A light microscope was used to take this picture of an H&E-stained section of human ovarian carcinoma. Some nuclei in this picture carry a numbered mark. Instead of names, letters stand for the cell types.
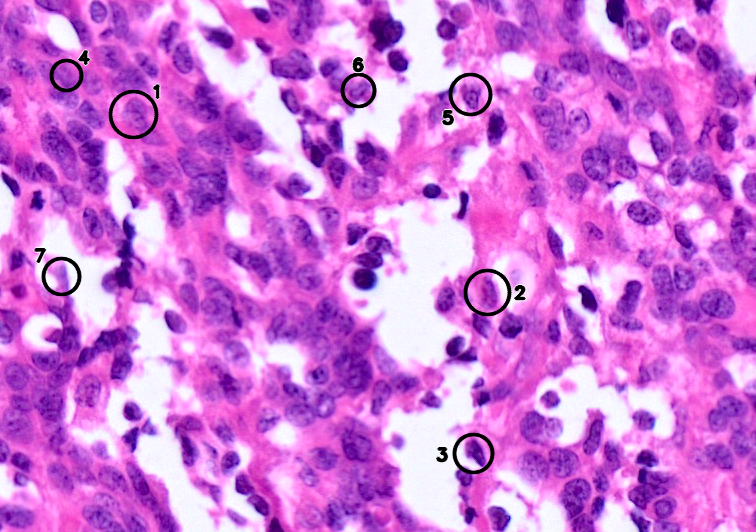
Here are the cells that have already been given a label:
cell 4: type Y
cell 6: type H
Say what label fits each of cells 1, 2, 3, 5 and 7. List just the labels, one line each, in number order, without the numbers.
type Y
type H
type Y
type H
type Y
